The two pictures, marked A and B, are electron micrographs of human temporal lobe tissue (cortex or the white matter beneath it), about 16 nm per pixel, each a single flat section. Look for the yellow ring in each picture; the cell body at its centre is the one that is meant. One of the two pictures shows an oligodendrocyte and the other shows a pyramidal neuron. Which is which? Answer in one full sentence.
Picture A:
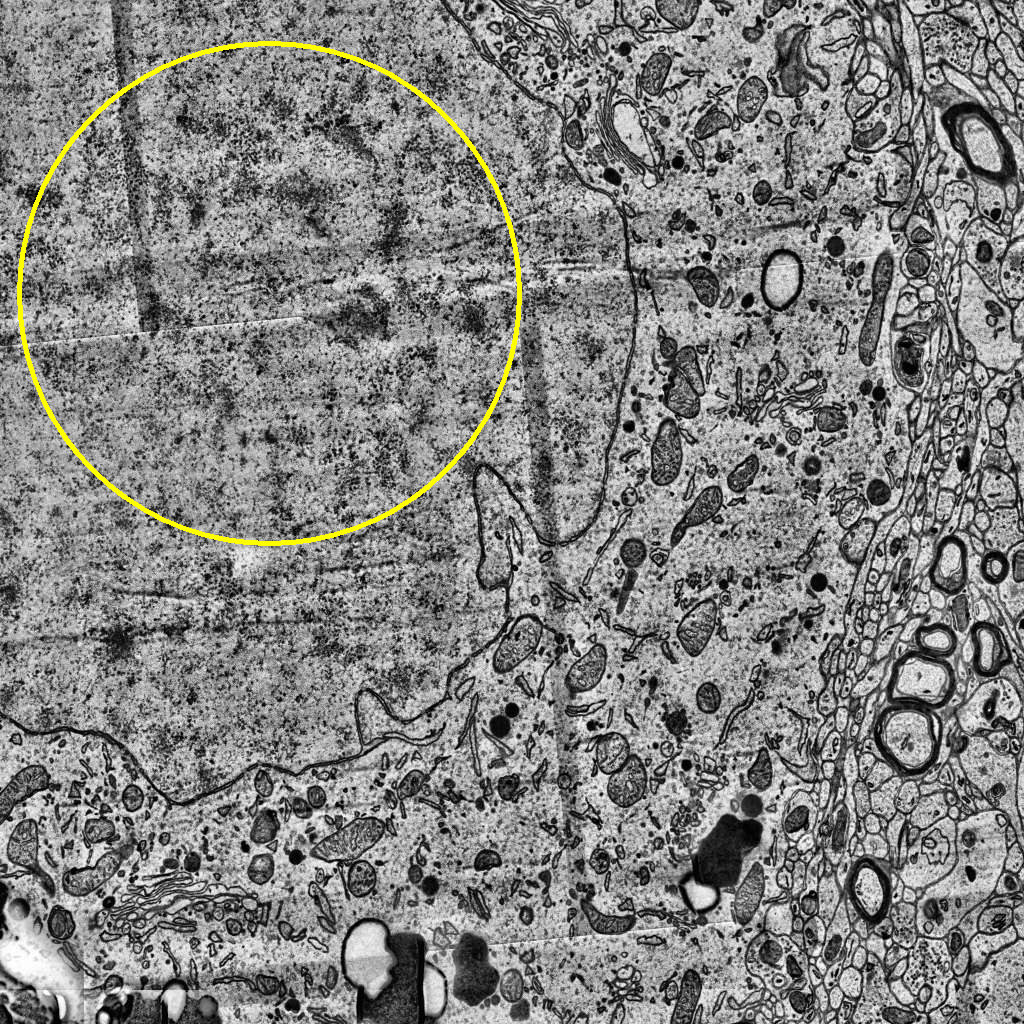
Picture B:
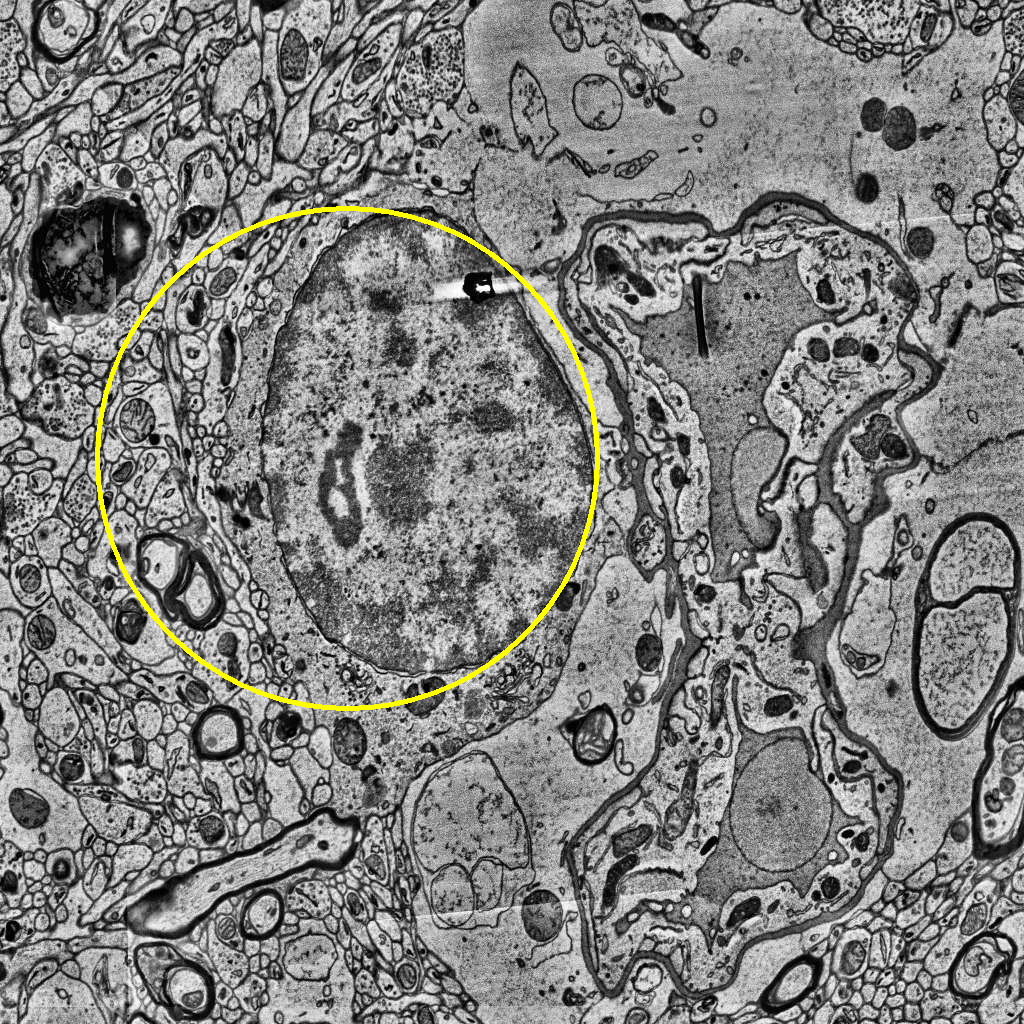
Picture A shows a pyramidal neuron and picture B shows an oligodendrocyte.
